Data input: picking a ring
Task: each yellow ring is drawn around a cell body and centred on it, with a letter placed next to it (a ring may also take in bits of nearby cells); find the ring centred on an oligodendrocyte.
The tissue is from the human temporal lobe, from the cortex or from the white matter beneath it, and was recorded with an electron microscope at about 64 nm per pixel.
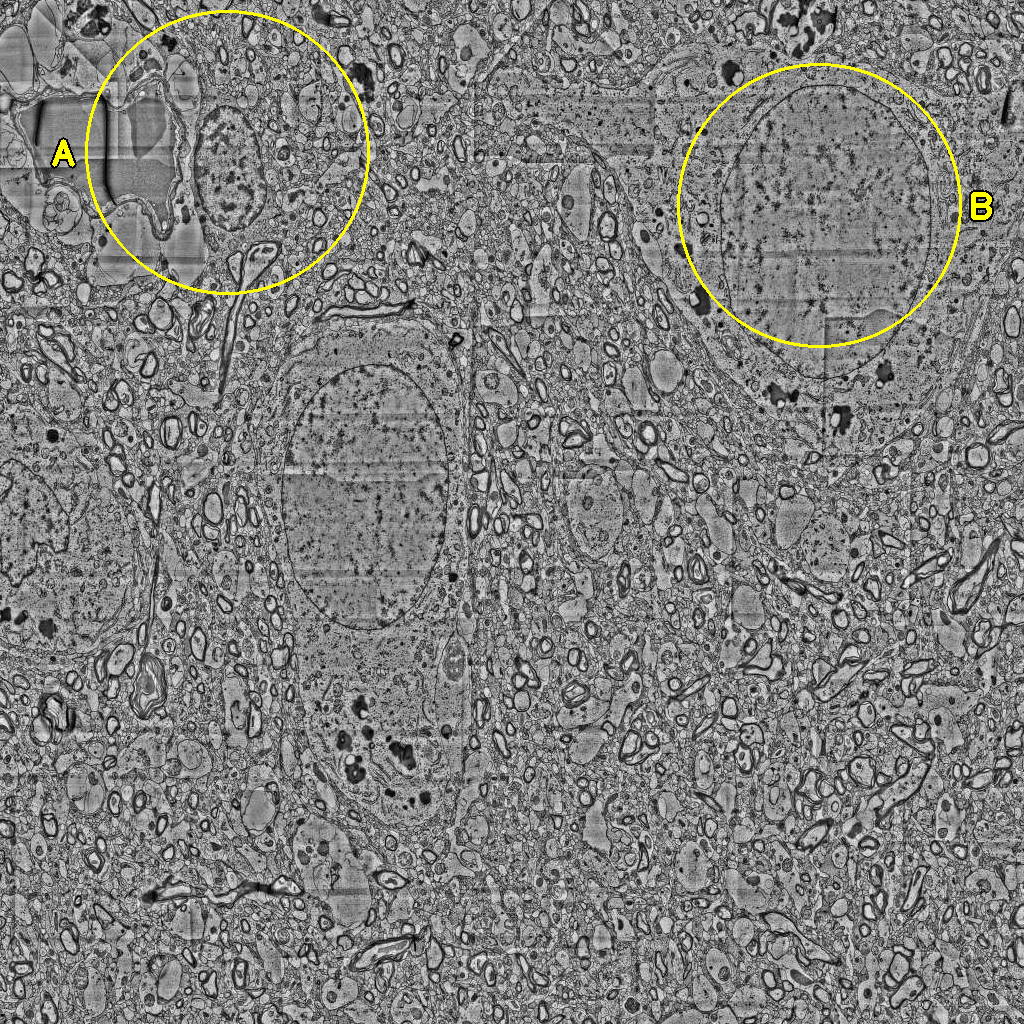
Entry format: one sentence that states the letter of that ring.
In the picture, the cell asked for sits at the centre of ring A.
